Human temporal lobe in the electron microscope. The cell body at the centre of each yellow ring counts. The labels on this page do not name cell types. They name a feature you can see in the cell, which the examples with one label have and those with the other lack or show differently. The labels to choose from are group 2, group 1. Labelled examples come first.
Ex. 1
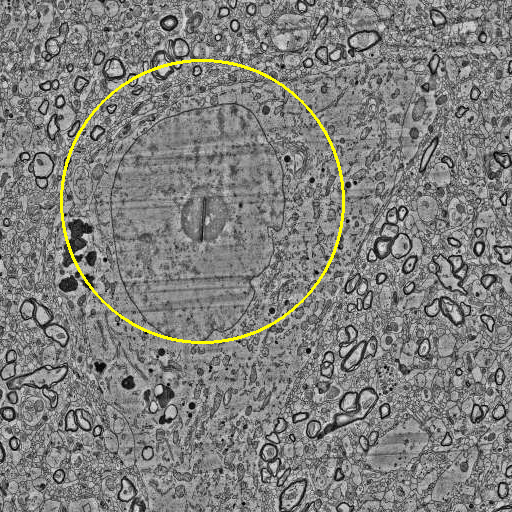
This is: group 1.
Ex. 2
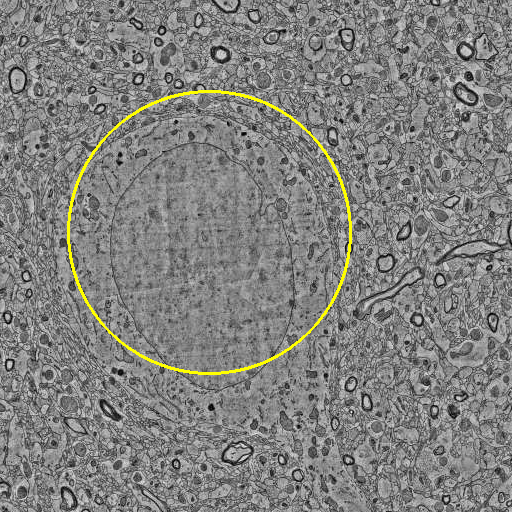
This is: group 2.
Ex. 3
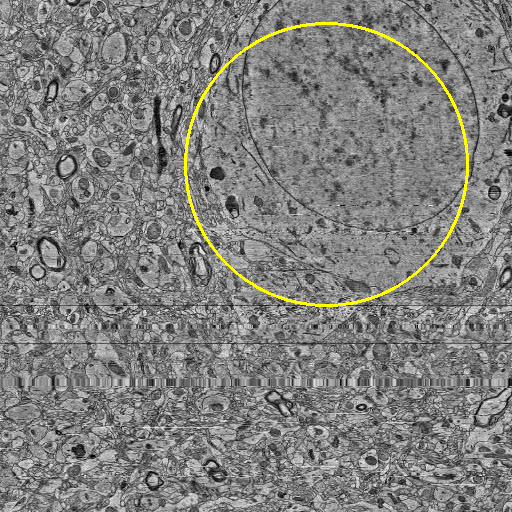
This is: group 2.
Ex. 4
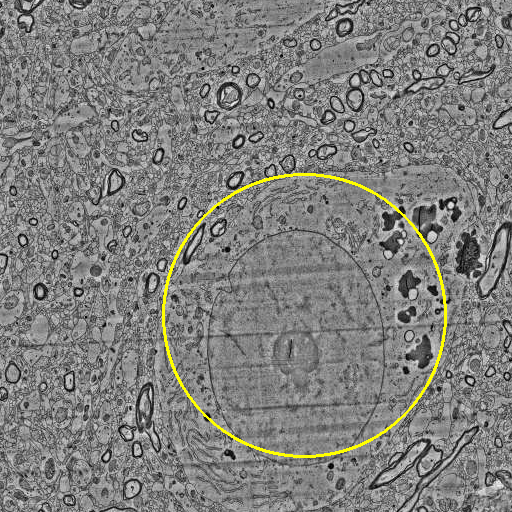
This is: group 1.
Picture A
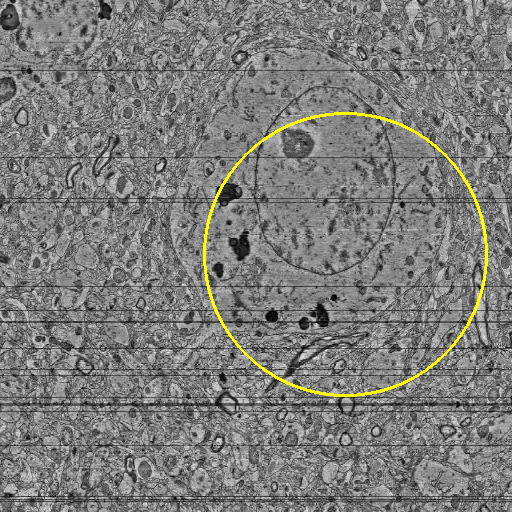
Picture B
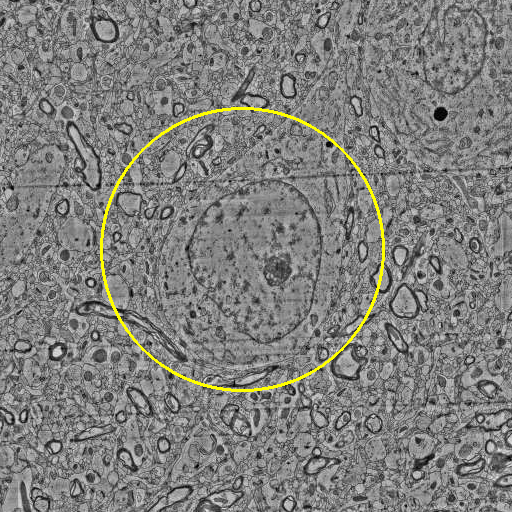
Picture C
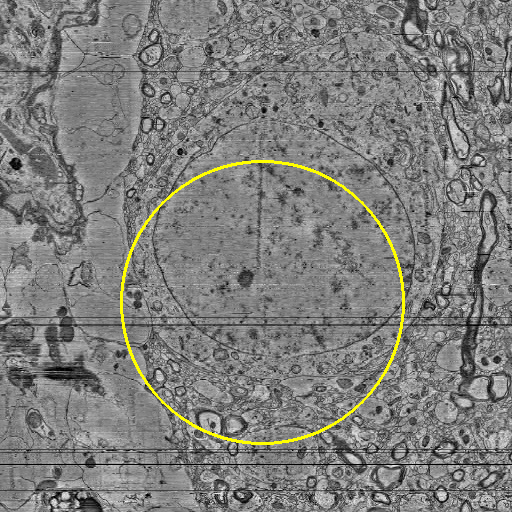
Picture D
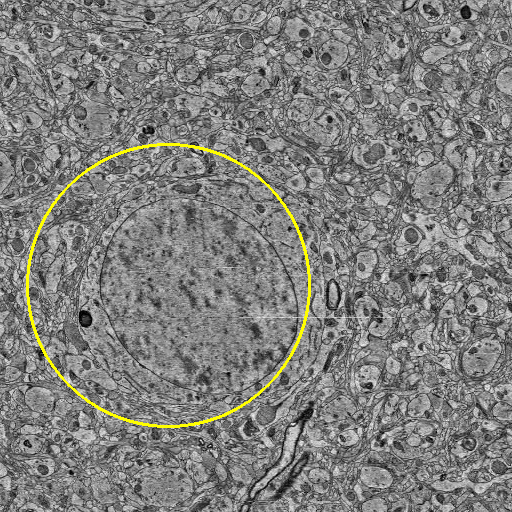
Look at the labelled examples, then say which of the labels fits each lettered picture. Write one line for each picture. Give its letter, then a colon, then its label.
A: group 1.
B: group 1.
C: group 1.
D: group 2.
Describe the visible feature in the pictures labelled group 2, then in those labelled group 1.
group 2, no nucleolus seen; group 1, nucleolus seen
